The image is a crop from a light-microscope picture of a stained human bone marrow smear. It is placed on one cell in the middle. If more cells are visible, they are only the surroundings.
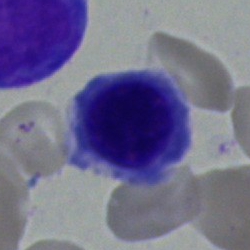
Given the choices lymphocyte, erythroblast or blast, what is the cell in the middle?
erythroblast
